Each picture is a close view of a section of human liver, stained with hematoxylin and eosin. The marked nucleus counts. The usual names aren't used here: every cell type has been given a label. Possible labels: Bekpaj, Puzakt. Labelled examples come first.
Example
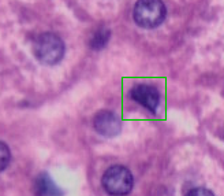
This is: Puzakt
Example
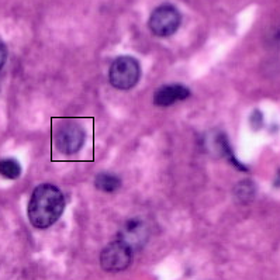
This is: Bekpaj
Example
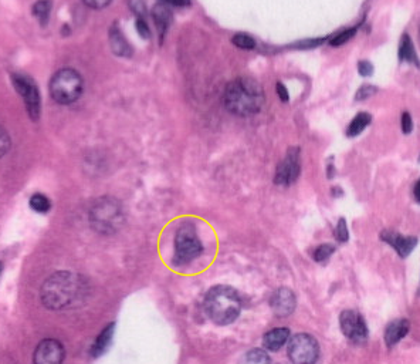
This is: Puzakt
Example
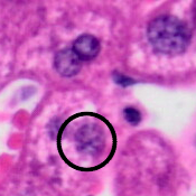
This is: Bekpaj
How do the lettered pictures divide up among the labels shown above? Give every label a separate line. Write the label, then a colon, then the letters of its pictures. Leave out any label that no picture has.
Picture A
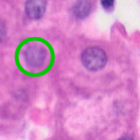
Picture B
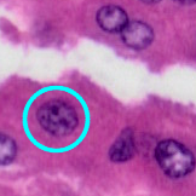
Bekpaj: A, B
